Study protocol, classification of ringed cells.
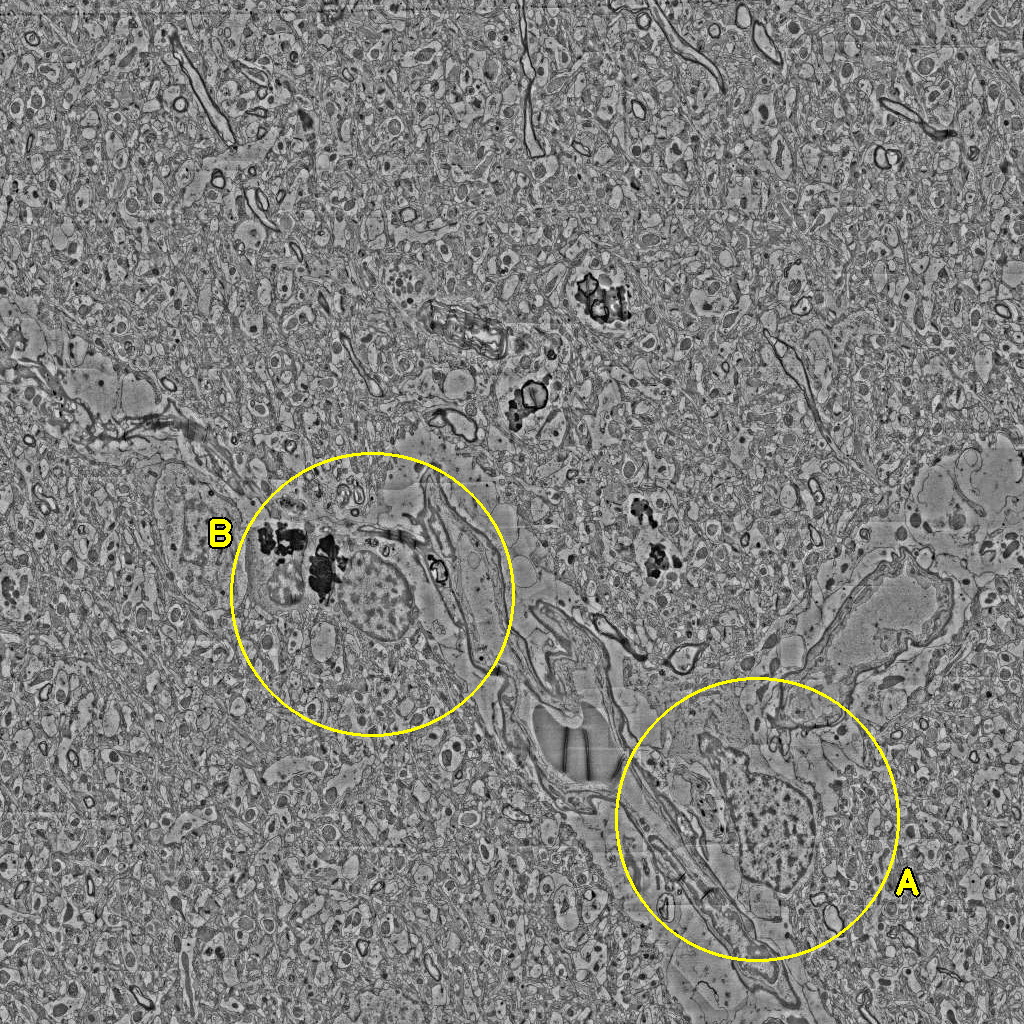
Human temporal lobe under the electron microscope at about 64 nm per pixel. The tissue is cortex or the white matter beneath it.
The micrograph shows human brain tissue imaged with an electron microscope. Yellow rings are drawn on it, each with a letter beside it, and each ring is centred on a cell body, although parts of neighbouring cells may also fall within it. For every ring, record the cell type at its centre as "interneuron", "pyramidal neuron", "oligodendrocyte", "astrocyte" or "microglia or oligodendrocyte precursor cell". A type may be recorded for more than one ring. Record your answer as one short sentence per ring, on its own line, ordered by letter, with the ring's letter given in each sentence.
Ring A has been centred on a microglial cell or oligodendrocyte precursor cell.
Ring B has been centred on an oligodendrocyte.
